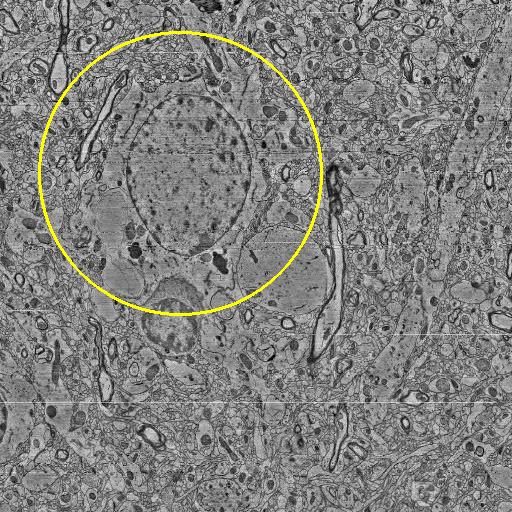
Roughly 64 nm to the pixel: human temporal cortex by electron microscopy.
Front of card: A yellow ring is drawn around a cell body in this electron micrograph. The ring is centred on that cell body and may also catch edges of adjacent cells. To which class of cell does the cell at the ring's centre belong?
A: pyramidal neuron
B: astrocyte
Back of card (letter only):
B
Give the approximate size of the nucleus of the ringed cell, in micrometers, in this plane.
In this plane the nucleus spans approximately 11 by 8 micrometers.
